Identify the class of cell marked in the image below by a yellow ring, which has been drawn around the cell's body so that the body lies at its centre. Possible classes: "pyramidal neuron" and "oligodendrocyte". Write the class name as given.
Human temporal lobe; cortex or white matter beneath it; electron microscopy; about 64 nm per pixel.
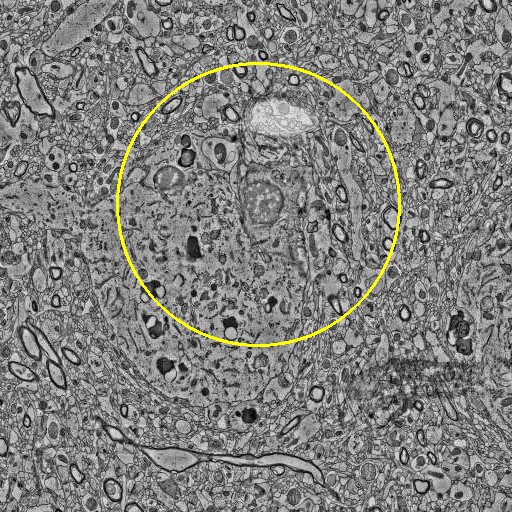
oligodendrocyte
